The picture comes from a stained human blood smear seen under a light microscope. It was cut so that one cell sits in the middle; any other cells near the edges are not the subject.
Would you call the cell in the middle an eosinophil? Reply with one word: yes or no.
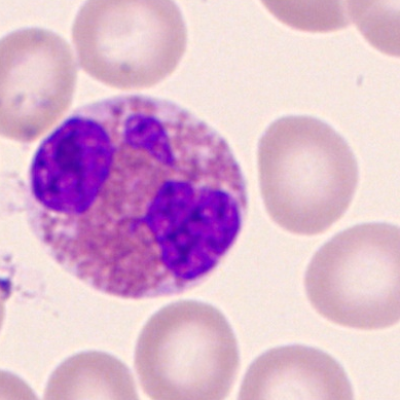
yes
